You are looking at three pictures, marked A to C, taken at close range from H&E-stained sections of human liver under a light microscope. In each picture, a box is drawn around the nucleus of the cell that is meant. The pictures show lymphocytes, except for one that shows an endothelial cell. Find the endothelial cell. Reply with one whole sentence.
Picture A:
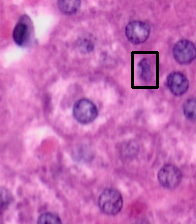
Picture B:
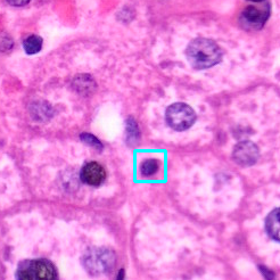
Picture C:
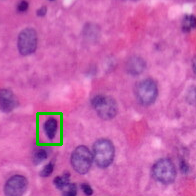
Picture A shows the endothelial cell.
